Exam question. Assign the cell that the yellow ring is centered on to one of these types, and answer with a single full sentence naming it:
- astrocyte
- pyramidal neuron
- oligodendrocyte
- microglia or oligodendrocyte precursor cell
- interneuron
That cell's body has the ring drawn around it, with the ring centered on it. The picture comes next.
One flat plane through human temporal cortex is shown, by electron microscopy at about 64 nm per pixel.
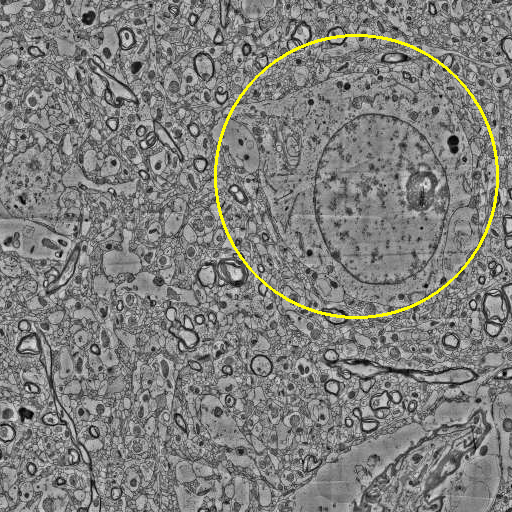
In the micrograph, the cell the yellow ring is centered on is a pyramidal neuron.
